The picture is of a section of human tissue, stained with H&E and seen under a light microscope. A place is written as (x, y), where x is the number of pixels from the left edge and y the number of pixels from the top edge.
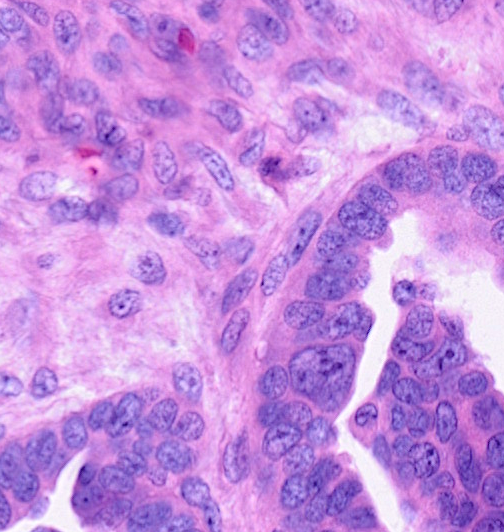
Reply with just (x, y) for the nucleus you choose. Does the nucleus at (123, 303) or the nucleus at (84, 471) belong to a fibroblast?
(123, 303)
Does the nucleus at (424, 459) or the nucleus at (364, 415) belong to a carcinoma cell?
(424, 459)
